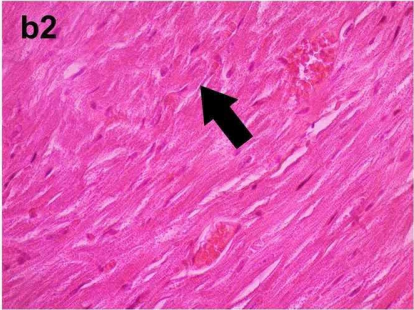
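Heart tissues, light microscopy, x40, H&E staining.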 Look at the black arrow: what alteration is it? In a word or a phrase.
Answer: Deformed muscle fibers.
